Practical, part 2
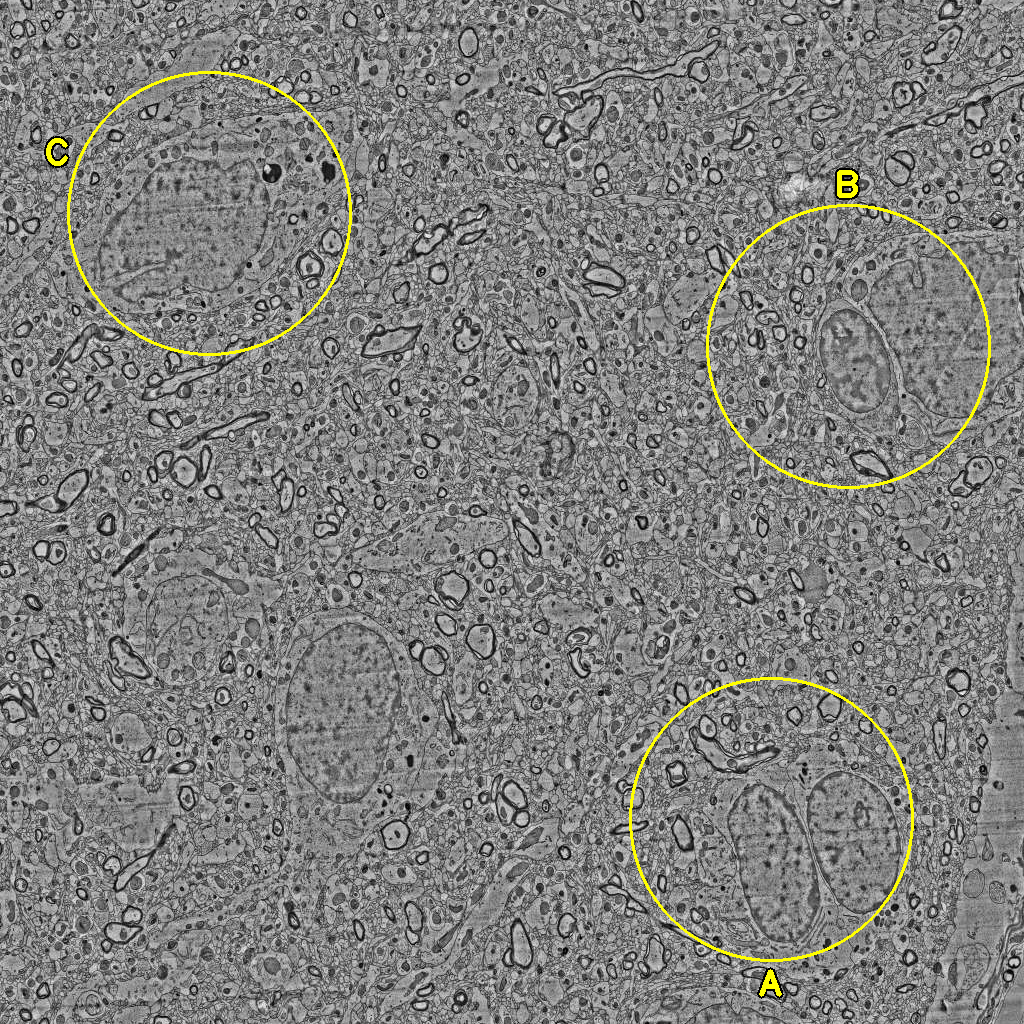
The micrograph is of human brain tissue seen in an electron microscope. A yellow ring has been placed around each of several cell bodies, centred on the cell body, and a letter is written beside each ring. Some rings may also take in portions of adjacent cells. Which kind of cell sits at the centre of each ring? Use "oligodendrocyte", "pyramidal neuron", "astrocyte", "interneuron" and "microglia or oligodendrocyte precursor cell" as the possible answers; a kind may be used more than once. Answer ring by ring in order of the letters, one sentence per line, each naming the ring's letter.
Ring A sits on a microglial cell or oligodendrocyte precursor cell.
Ring B sits on an oligodendrocyte.
Ring C sits on an interneuron.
